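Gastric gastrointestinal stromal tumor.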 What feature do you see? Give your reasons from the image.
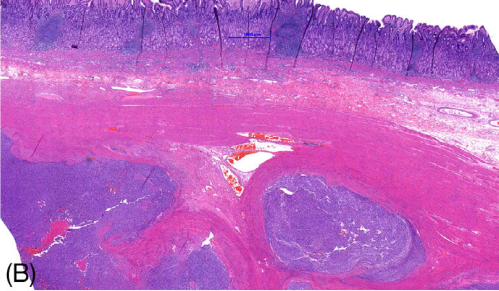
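Tumor forms several rounded nodules separated by pink fibromuscular bands. Nodules lie beneath the mucosa and muscle layer.
Answer: coarsely multilobulated/plexiform growth pattern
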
